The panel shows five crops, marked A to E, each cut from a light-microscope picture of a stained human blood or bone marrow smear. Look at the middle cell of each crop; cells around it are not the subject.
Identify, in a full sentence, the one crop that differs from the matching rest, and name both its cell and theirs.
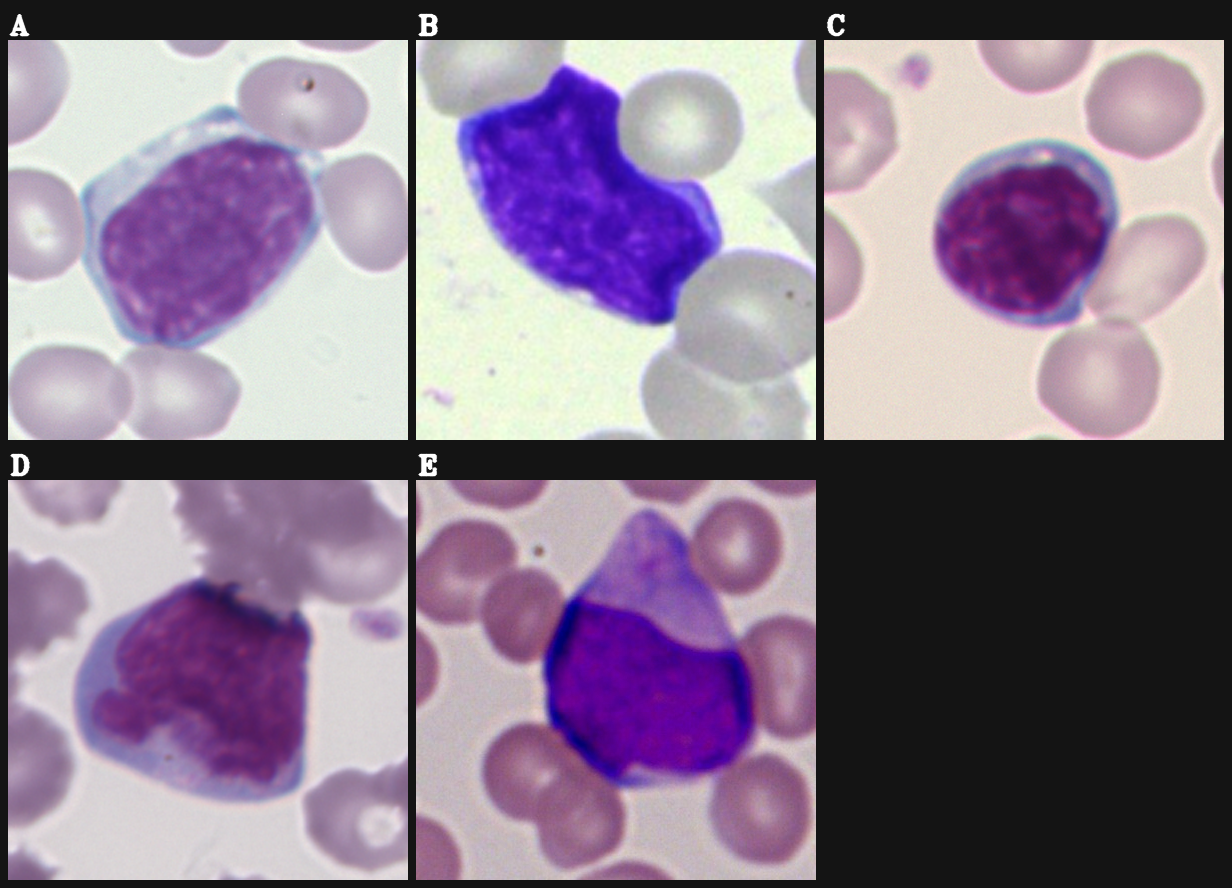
Shown in crop C is a lymphocyte, in contrast to the blasts of all the other crops.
